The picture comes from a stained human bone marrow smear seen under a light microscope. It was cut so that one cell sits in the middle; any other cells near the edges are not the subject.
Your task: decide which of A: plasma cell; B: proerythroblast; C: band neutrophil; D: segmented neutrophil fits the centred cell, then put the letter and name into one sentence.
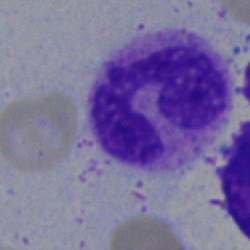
Identified correctly by option C, the cell in the middle is a band neutrophil.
